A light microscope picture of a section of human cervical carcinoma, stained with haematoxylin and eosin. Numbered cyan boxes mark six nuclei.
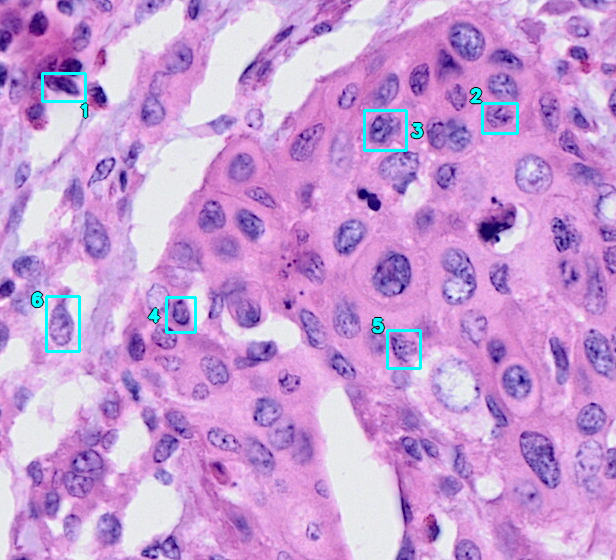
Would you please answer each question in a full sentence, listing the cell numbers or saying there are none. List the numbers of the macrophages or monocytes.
Cell 6 is the single numbered cell that is a macrophage or monocyte.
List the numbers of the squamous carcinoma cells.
Into the category of squamous carcinoma cells fall the cells numbered 2, 3, 4 and 5.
